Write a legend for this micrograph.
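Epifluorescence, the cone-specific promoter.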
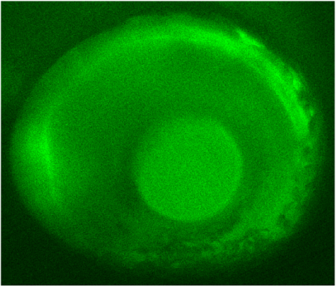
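The band follows the outer margin of the retina, farthest from the lens, and is brightest toward the edges of the eye. A round, evenly glowing lens sits near the centre. The retina between lens and band is dimmer and fairly uniform. Along the lower outer margin the band is broken by dark speckles. Individual cells are not resolved at this magnification.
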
